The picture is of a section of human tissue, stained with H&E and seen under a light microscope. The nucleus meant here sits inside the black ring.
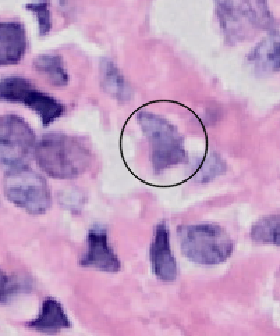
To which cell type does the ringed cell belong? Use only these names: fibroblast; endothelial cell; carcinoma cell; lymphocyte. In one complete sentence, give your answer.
In cellular terms, the ringed cell is a carcinoma cell.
